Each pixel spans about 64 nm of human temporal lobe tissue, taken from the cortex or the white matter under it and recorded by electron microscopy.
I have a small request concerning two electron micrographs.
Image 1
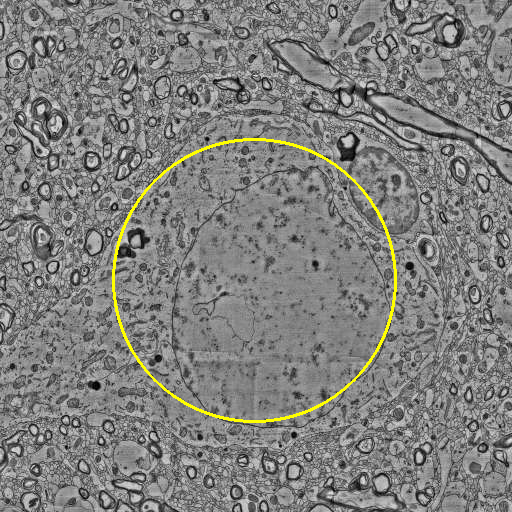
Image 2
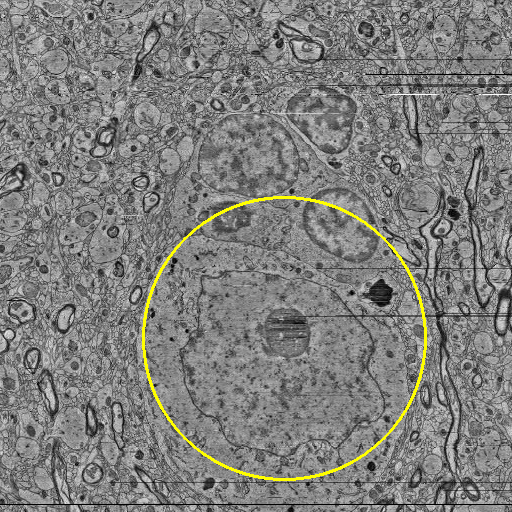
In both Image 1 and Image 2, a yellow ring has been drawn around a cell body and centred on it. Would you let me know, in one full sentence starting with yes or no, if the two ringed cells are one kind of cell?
Yes, the cells ringed in Image 1 and Image 2 are one kind of cell.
